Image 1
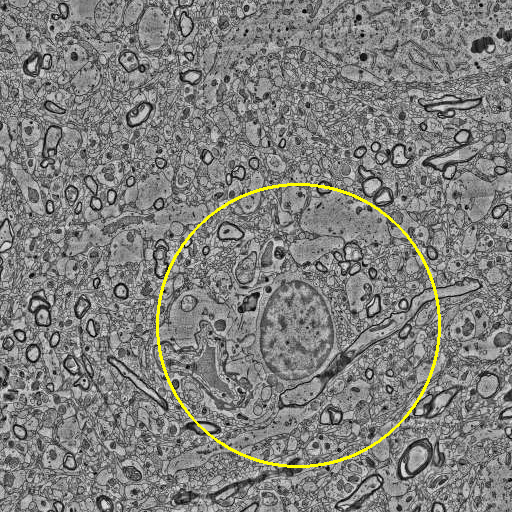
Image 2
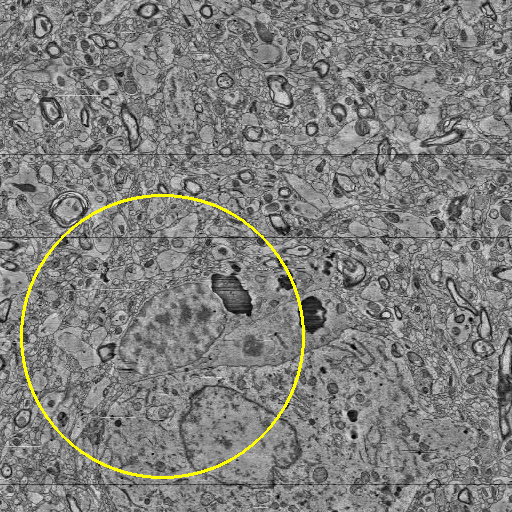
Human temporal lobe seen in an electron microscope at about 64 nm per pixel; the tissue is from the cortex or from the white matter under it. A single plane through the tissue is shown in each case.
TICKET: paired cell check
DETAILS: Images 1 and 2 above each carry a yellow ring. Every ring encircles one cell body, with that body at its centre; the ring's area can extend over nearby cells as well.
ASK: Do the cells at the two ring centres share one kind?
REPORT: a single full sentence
Yes, the ring-centre cells of Images 1 and 2 belong to a single kind.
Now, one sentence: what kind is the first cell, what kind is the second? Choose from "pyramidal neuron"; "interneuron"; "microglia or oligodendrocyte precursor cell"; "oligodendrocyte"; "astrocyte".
Each of the two rings surrounds an oligodendrocyte.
